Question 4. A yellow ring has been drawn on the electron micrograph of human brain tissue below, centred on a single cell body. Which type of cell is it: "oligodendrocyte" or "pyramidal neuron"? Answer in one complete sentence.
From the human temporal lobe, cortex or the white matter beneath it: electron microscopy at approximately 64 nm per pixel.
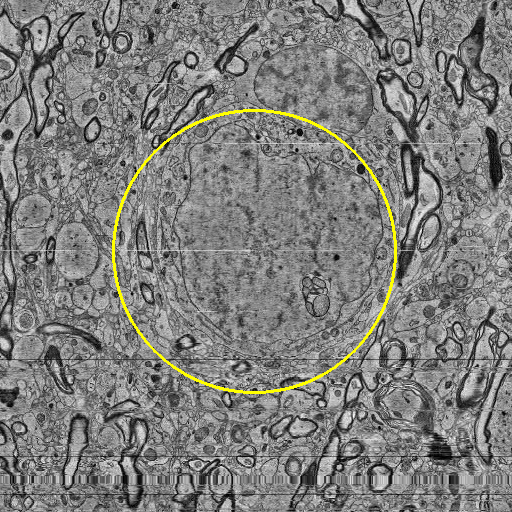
This cell body belongs to a pyramidal neuron.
